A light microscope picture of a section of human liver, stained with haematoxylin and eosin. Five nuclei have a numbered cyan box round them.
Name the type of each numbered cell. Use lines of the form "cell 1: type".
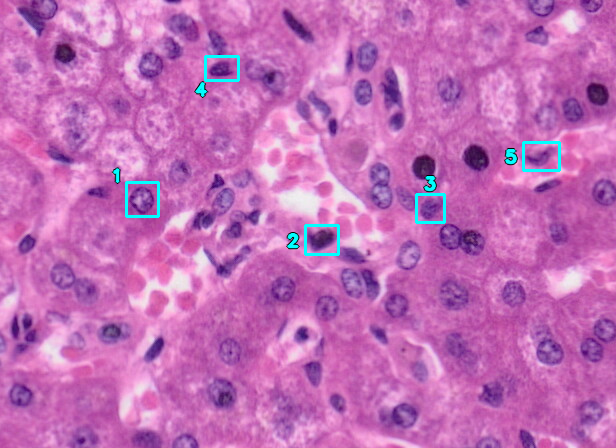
cell 1: hepatocyte
cell 2: fibroblast or stellate cell
cell 3: cholangiocyte
cell 4: fibroblast or stellate cell
cell 5: Kupffer cell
